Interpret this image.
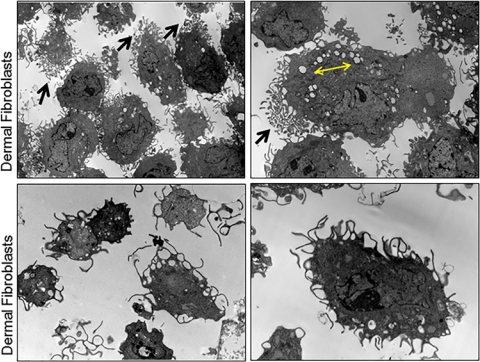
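On one side of many of these cells lies a dense tuft of thin, branching microvilli, marked by black arrows. Their cytoplasm contains numerous pale, round vacuoles, and a yellow double-headed arrow spans one vacuolated region. The cells in the lower row carry fewer, longer, curling surface processes spread around the whole cell outline rather than clustered in tufts on one side.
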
